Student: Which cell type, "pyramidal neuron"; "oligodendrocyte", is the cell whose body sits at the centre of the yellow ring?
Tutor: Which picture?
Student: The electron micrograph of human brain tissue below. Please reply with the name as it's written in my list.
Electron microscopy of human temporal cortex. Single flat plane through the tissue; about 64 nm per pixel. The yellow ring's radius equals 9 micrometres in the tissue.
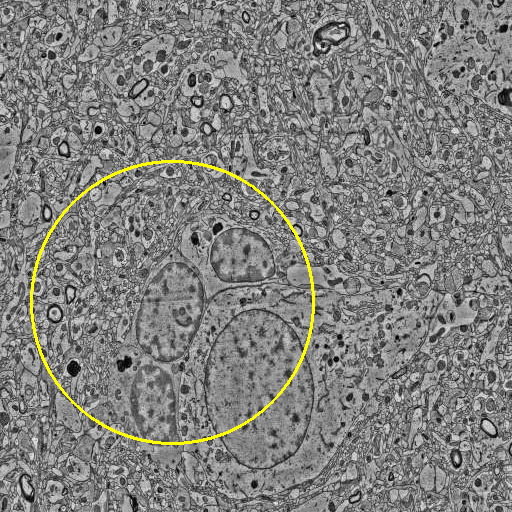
oligodendrocyte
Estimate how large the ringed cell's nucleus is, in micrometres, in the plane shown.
About 6 by 4 micrometres in this plane; clearly longer than it is wide.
